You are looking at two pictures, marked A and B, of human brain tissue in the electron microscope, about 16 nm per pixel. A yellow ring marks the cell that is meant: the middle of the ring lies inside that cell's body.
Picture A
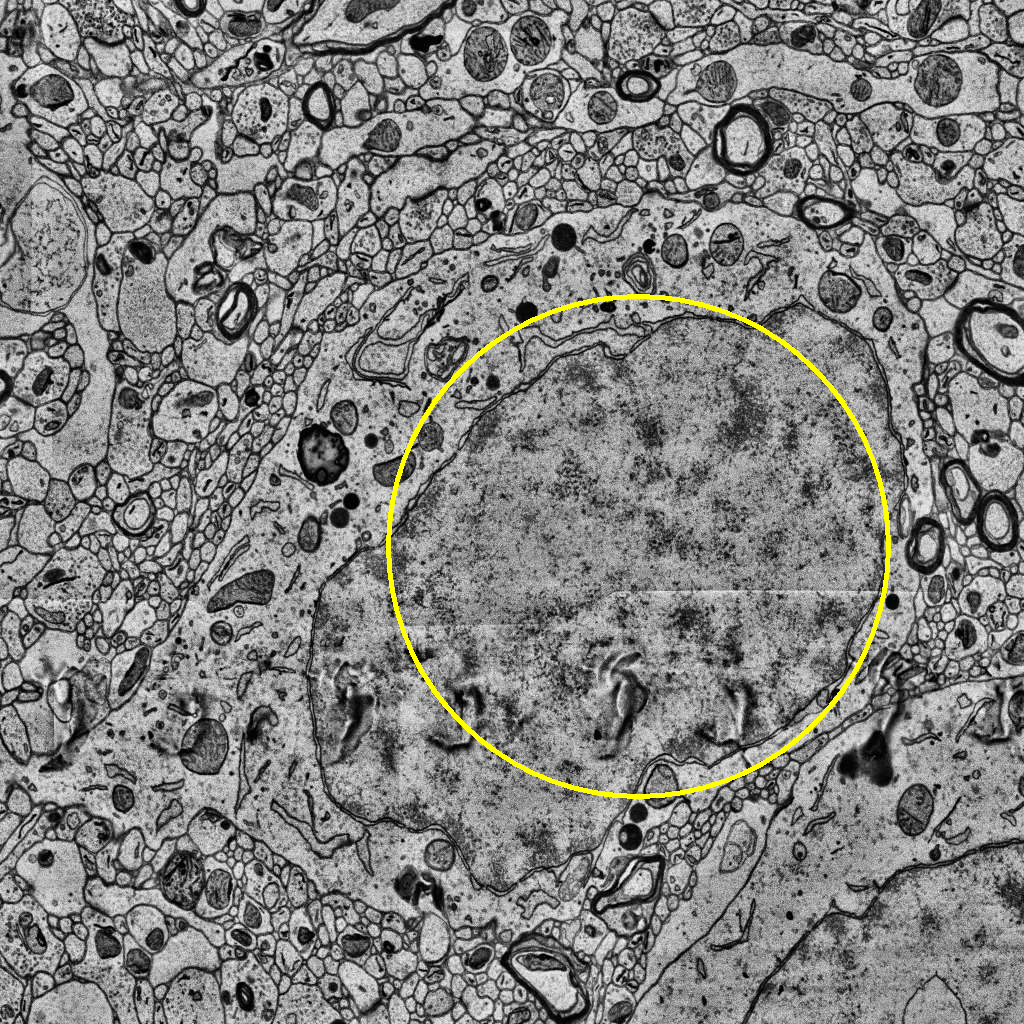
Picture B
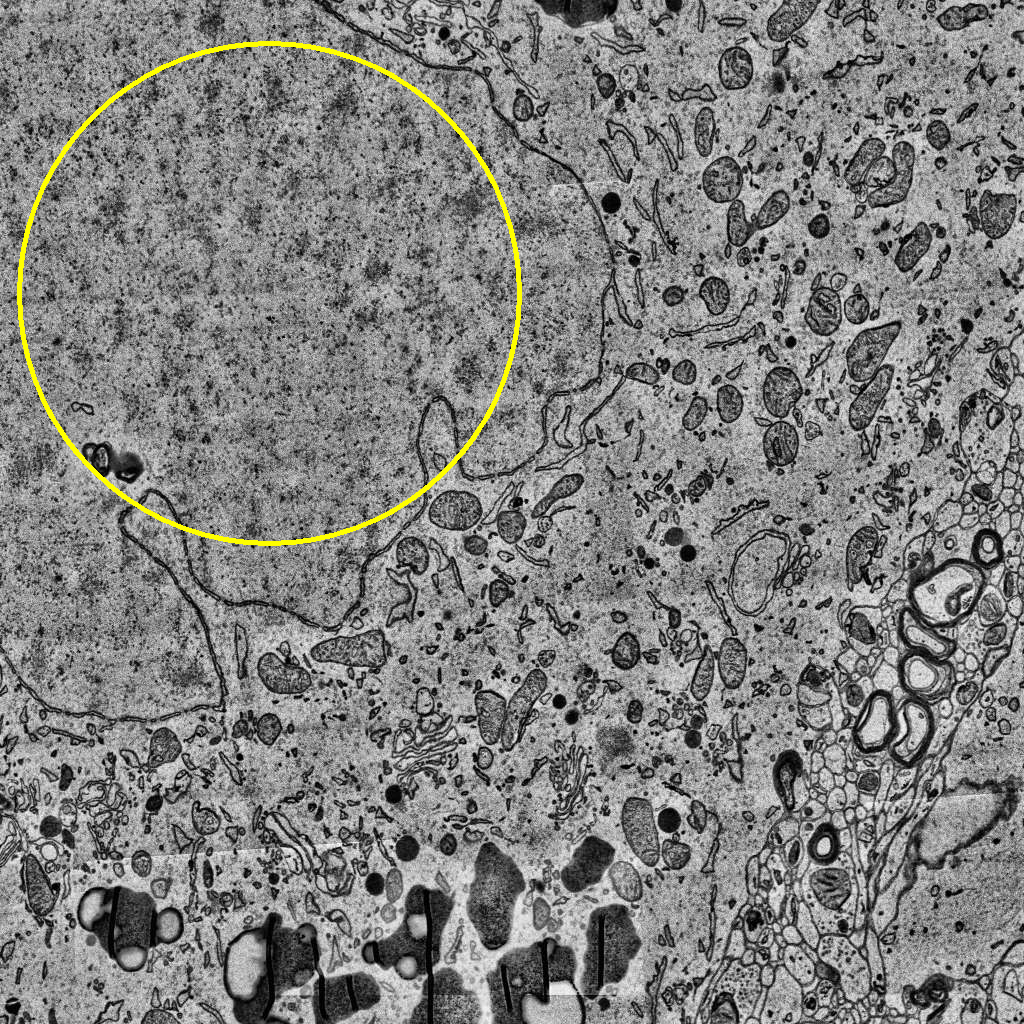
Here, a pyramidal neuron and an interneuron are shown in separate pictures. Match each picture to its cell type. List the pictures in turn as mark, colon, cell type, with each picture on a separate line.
A: interneuron
B: pyramidal neuron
